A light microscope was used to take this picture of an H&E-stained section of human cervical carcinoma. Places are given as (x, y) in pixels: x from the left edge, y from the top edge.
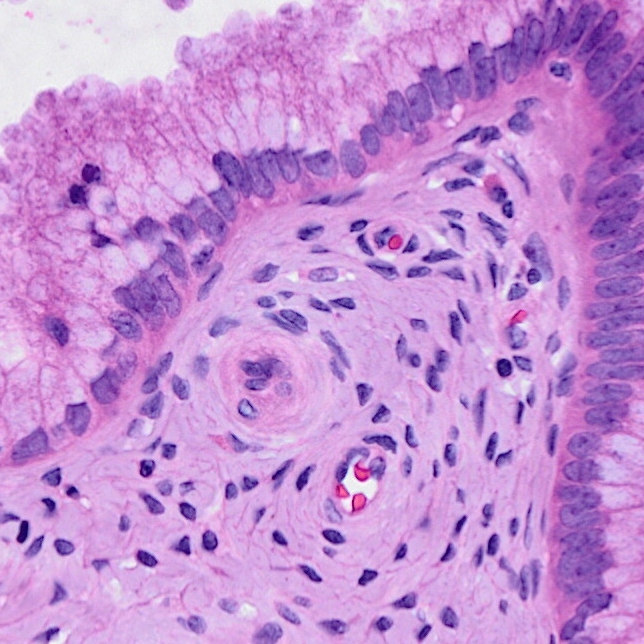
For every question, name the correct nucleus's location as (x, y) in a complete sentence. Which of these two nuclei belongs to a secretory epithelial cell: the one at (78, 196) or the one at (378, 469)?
The one nucleus of the two that belongs to a secretory epithelial cell is at (78, 196).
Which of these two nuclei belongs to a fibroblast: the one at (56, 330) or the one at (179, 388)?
The nucleus at (179, 388) is attributed to a fibroblast, unlike the other nucleus.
